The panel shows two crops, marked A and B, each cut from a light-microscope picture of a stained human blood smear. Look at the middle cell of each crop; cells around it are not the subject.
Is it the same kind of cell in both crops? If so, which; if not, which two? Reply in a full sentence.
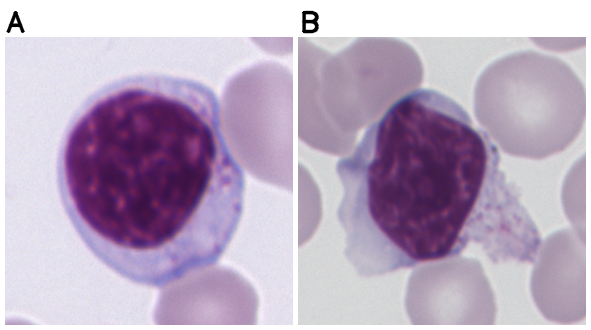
Yes, both crops alike show large granular lymphocytes at the centre.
